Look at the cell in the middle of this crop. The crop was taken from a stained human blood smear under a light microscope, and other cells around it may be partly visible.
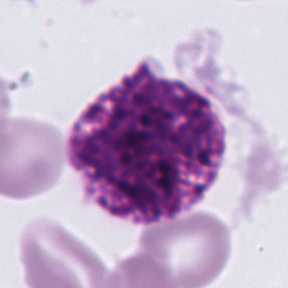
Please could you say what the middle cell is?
basophil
